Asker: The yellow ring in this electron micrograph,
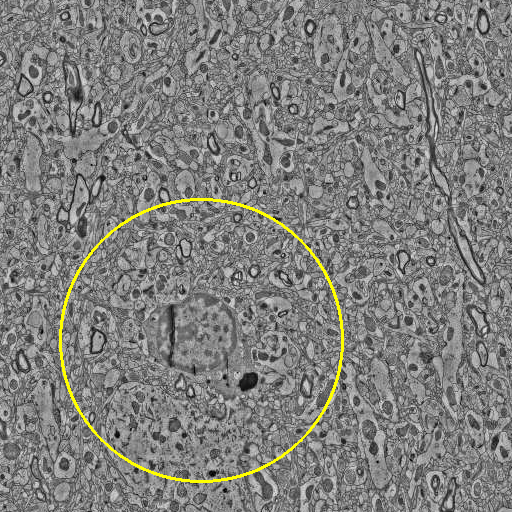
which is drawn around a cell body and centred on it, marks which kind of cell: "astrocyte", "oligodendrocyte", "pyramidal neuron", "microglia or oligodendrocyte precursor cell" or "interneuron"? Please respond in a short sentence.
The marked cell is an oligodendrocyte.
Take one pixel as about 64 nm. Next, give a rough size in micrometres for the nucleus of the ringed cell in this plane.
Roughly 5 micrometers across in this plane.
